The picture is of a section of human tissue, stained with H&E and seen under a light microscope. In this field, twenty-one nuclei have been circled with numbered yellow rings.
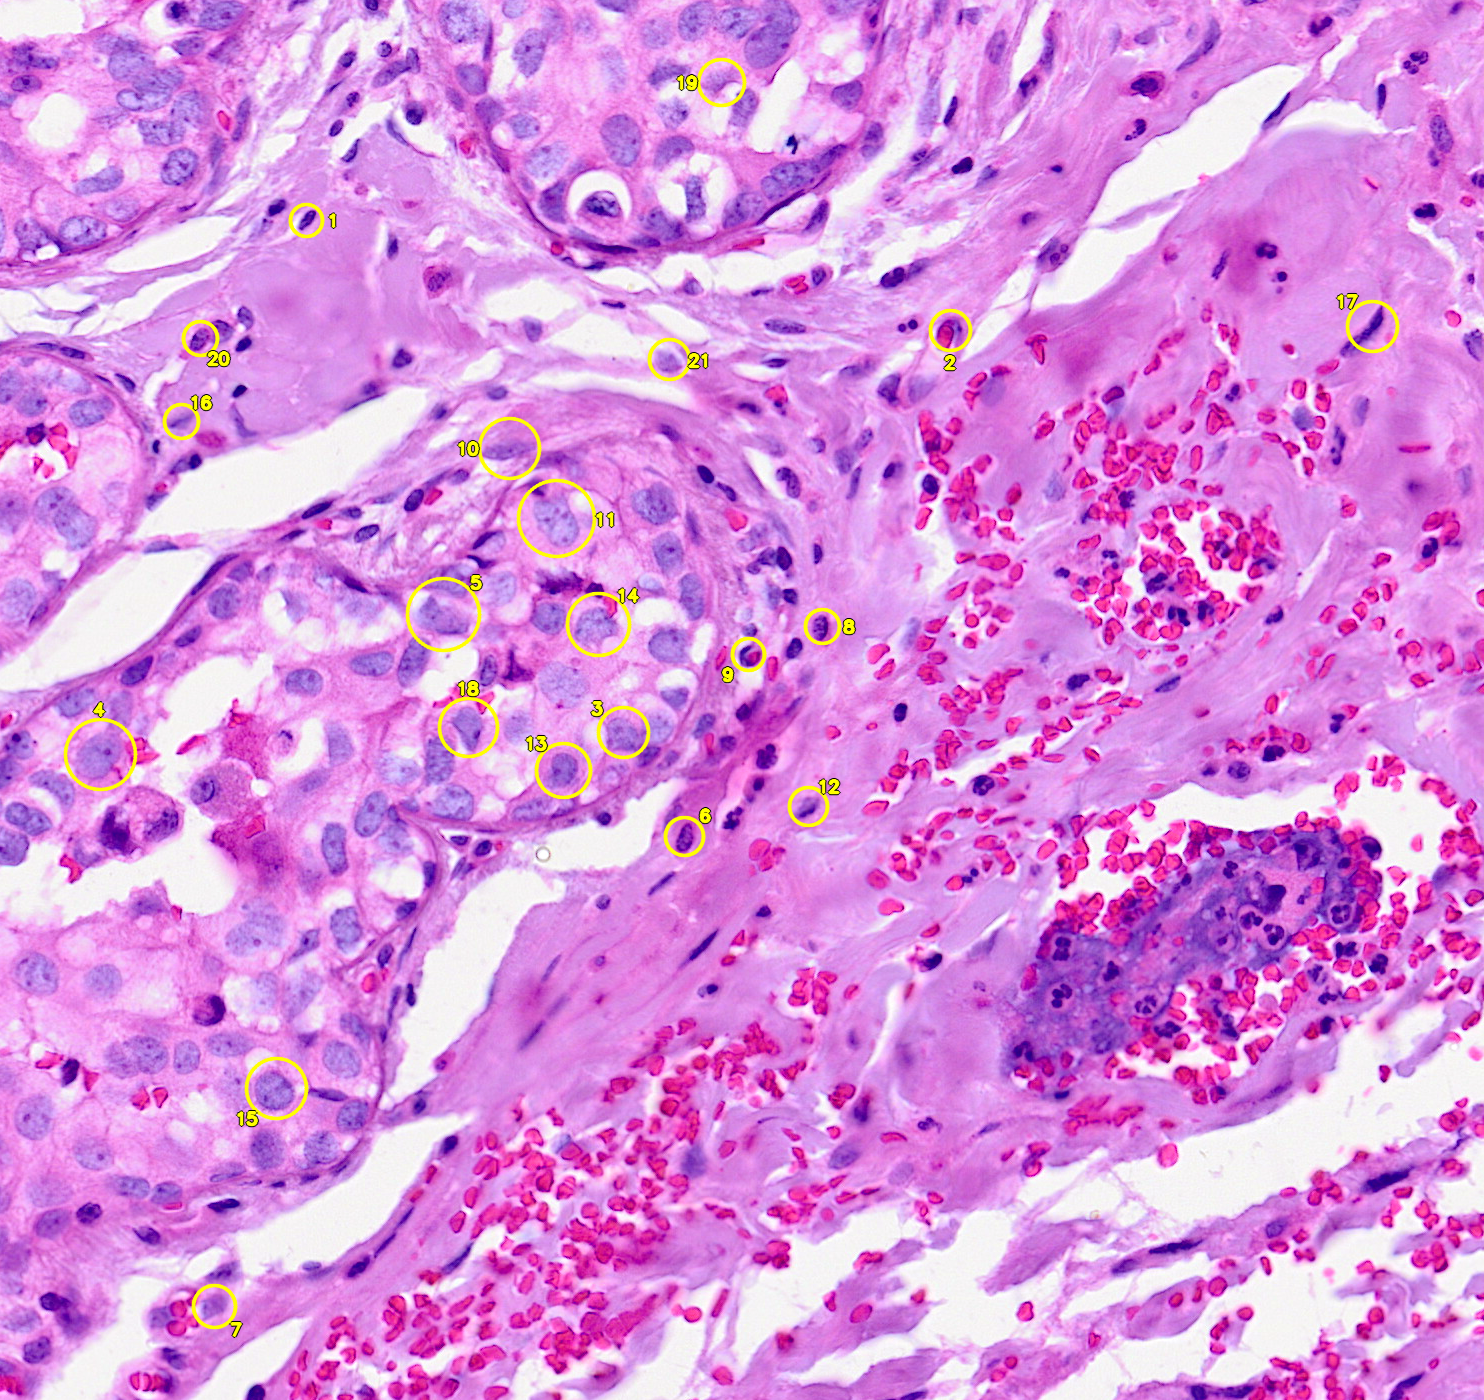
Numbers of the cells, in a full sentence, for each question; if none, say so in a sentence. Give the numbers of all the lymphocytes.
Cell 1 represents a lymphocyte, and no other numbered cell does.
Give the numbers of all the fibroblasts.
The numbers 10, 12, 16, 17 and 21 refer to cells that are fibroblasts.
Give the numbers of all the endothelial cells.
The cells which carry the numbers 2, 7 and 9 are endothelial cells.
